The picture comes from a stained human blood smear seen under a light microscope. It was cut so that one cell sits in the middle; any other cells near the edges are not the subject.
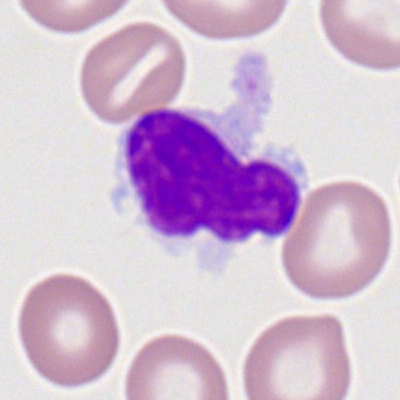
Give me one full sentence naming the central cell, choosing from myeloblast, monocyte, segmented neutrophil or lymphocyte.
The center cell of this crop is a lymphocyte.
